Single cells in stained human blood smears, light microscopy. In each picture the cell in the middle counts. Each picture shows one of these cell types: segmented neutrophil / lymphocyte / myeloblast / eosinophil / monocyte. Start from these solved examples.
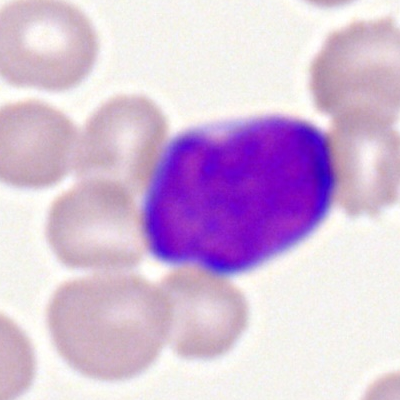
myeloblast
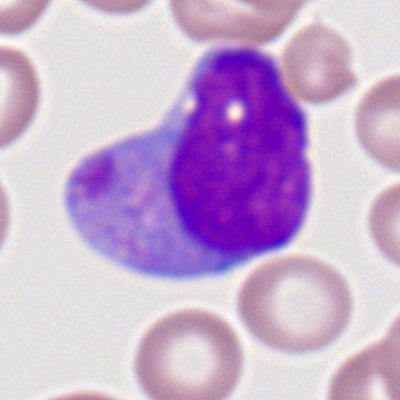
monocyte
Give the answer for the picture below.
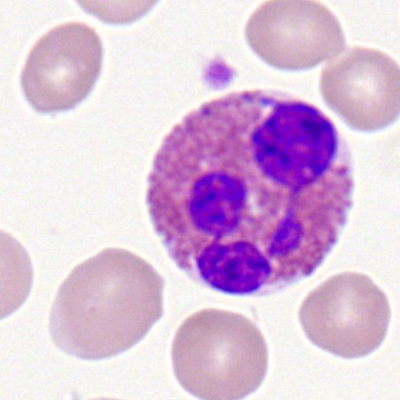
eosinophil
